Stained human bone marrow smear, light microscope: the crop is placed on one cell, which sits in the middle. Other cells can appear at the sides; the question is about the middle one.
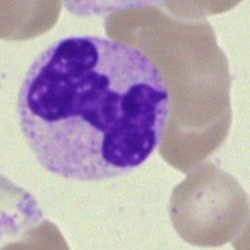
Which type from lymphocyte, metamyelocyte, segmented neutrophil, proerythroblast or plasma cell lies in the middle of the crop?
segmented neutrophil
